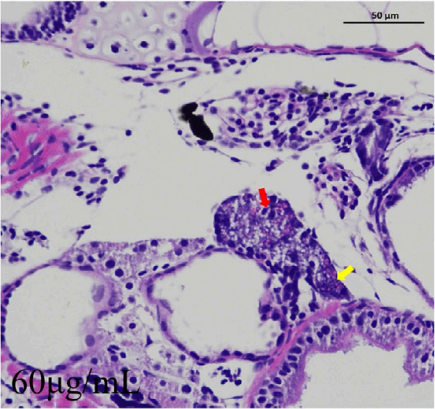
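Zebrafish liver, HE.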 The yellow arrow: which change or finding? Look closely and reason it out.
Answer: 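The arrow points to the edge of a small tissue mass. Nuclei there are small, dense and very dark. So: nuclear pyknosis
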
